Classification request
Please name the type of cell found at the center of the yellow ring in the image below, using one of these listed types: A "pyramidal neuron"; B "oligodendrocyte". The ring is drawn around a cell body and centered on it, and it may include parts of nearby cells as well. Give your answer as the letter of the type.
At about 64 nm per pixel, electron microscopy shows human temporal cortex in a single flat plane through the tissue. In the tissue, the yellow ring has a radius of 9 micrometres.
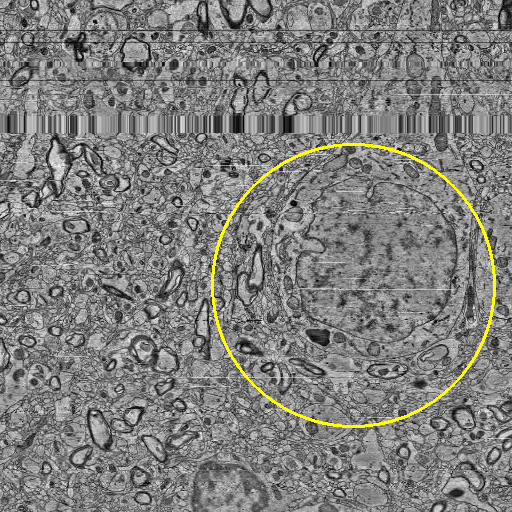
A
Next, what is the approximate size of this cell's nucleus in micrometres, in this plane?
In this plane the nucleus is about 11 micrometres across.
